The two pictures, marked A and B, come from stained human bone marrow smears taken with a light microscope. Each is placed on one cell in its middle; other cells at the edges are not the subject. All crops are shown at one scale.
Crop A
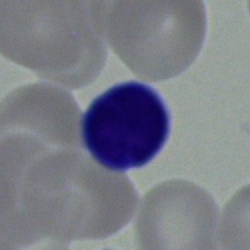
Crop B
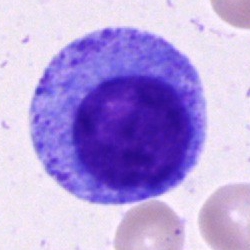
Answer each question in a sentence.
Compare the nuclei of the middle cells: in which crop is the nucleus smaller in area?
Crop A shows the smaller nucleus, since that in crop B covers about 2.5 times as much area.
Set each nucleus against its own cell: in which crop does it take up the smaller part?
In crop B the nucleus takes up the smaller part of its cell.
